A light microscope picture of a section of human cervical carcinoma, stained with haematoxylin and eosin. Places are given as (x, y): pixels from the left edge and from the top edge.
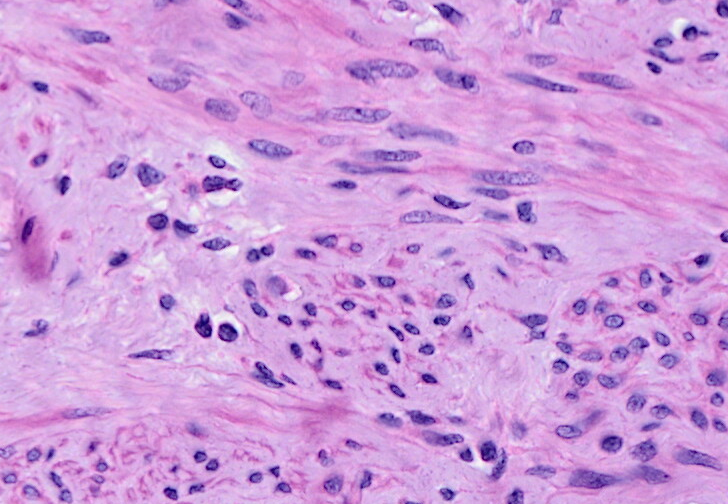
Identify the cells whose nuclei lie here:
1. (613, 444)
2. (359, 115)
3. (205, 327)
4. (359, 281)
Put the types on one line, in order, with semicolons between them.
lymphocyte; smooth muscle cell; lymphocyte; smooth muscle cell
